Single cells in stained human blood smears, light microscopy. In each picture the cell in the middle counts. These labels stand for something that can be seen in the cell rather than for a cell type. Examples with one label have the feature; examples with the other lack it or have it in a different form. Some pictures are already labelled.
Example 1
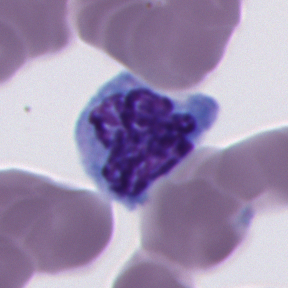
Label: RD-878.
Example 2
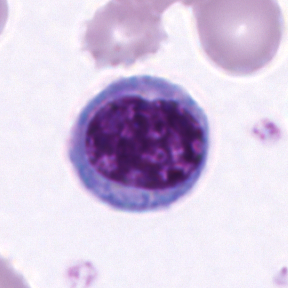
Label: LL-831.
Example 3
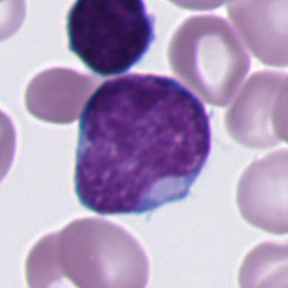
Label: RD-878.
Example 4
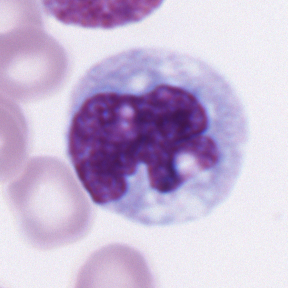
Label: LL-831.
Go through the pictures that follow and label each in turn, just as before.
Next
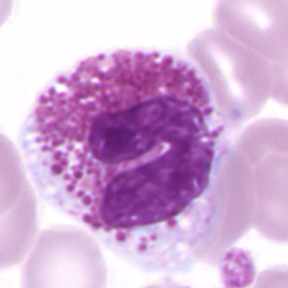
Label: LL-831.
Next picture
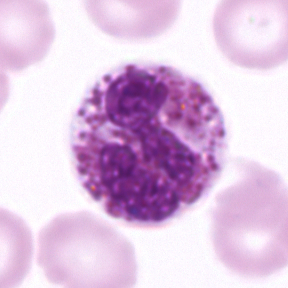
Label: LL-831.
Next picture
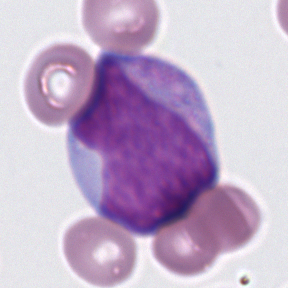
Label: LL-831.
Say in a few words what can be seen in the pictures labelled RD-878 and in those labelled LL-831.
Seen in RD-878: ragged outline or projections; seen in LL-831: smooth outline.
